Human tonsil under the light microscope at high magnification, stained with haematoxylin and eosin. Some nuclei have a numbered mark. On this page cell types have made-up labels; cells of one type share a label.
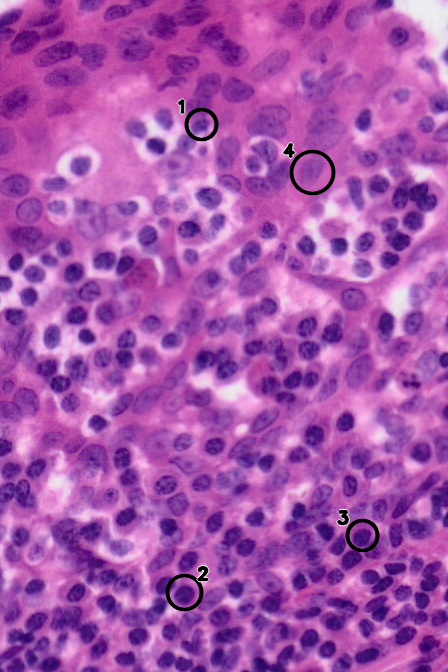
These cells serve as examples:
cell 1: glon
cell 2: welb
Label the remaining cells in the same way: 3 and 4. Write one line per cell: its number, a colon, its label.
3: welb
4: glon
